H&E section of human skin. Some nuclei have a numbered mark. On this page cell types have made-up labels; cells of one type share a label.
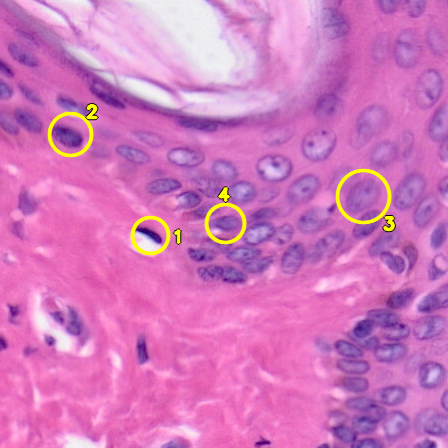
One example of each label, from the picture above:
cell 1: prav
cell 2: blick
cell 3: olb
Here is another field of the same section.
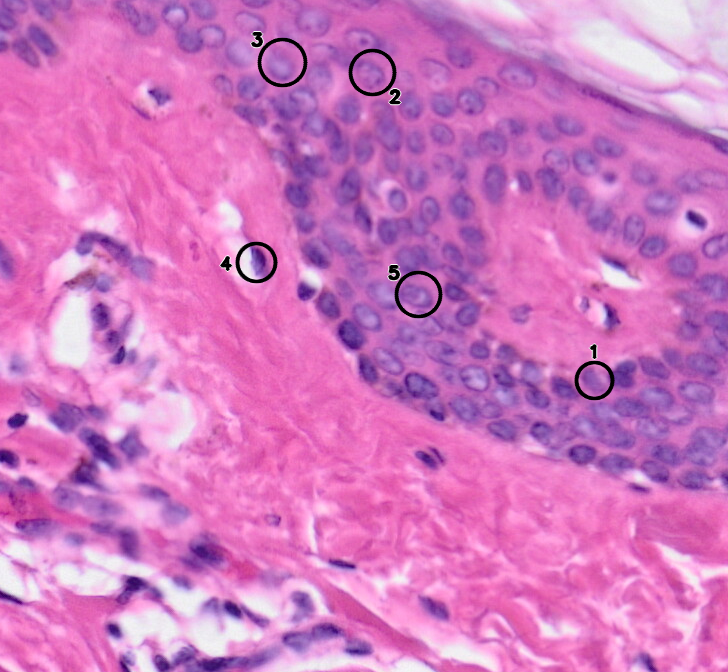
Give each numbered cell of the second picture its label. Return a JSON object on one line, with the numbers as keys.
{"1": "blick", "2": "olb", "3": "olb", "4": "prav", "5": "olb"}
